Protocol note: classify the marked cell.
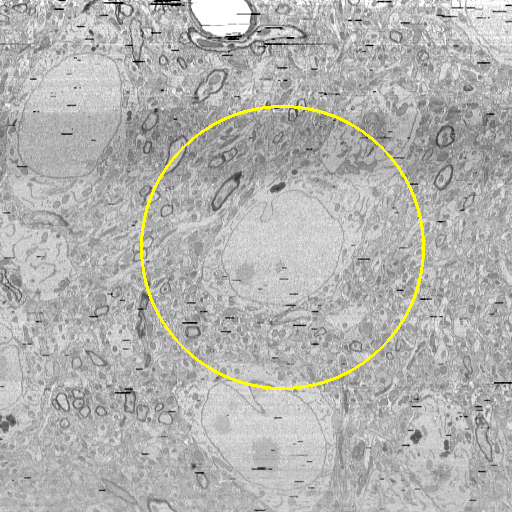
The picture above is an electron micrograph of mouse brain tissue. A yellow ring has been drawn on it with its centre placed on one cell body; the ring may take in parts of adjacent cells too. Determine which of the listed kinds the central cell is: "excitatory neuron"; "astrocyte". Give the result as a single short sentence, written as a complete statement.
The central cell is an excitatory neuron.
